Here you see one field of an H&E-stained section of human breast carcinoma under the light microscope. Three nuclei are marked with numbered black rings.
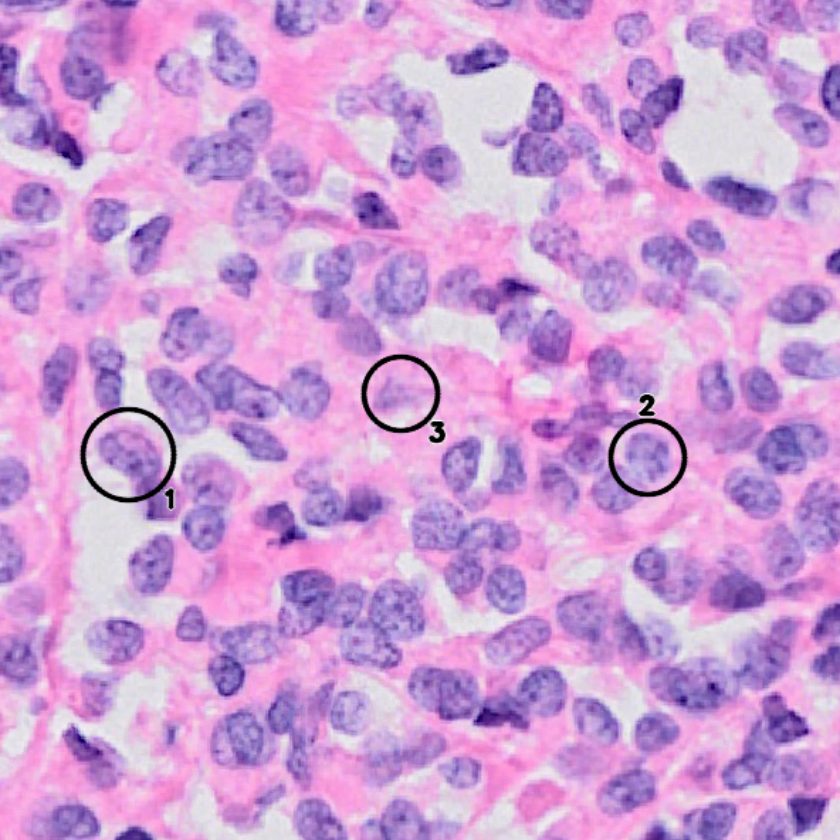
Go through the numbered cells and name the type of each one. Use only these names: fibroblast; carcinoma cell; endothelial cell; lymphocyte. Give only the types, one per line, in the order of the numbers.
carcinoma cell
carcinoma cell
fibroblast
